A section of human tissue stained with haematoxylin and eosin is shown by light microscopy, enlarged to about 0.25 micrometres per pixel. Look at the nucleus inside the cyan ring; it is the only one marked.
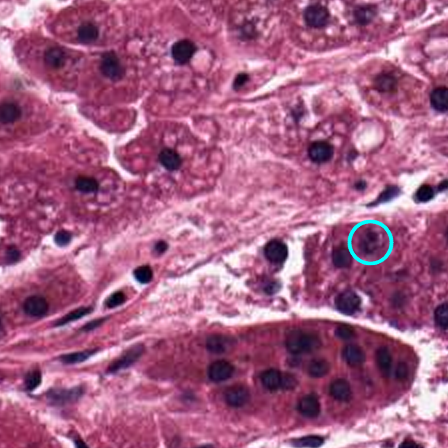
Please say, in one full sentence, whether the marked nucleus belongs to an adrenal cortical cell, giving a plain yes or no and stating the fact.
Yes, the nucleus indicated by the marking belongs to an adrenal cortical cell.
